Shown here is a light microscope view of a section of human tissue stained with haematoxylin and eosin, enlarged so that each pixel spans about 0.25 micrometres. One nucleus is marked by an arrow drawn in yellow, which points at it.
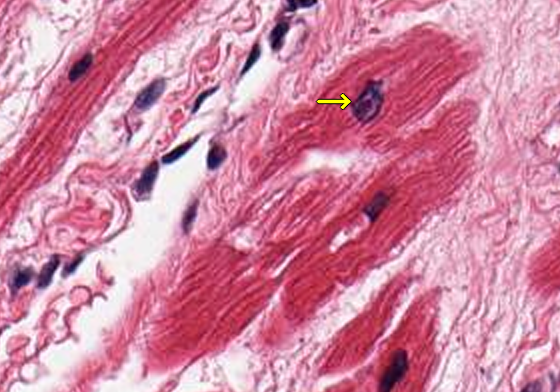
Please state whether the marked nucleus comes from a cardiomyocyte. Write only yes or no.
yes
